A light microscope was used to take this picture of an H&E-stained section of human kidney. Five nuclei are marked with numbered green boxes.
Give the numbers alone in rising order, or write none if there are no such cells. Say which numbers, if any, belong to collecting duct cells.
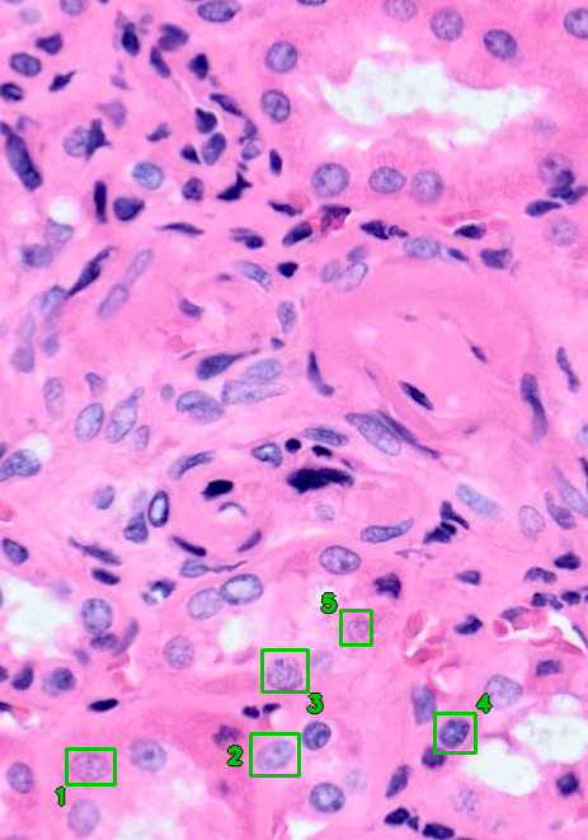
2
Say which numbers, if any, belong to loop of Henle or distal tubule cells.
4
